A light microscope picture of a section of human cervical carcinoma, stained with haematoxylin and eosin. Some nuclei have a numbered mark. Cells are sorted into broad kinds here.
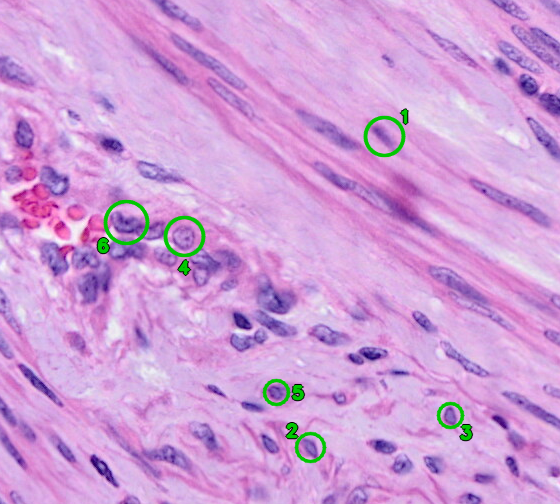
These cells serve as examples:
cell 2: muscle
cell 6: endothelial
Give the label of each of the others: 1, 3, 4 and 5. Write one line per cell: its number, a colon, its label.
1: muscle
3: muscle
4: endothelial
5: muscle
